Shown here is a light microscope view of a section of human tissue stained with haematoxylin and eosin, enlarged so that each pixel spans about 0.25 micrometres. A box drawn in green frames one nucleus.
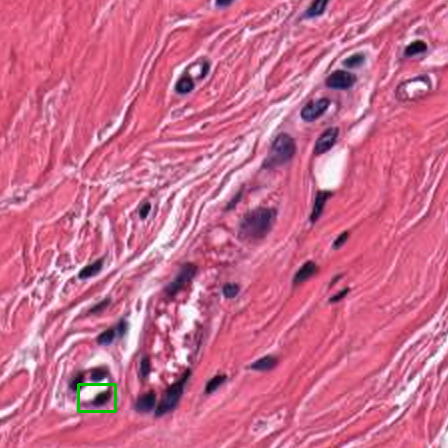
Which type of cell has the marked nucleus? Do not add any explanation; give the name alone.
endothelial cell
